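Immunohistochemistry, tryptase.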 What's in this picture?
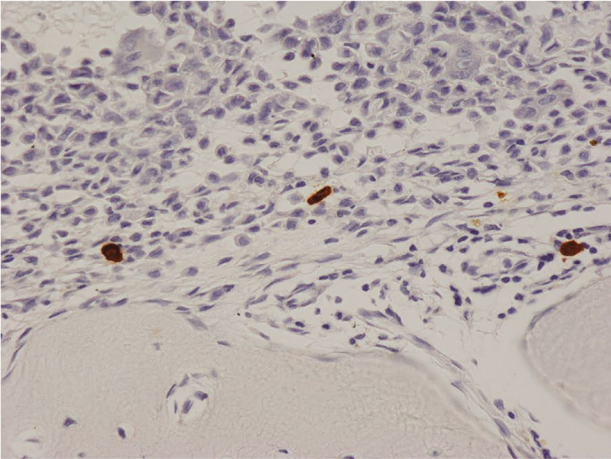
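This is densely cellular tumour tissue composed of closely packed round to oval cells with blue nuclei and scant pale cytoplasm. Among the unstained tumour cells a few isolated mast cells are seen, each small and oval with cytoplasm solidly stained dark brown. The brown cells lie singly, mostly near the band of looser tissue above the matrix.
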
